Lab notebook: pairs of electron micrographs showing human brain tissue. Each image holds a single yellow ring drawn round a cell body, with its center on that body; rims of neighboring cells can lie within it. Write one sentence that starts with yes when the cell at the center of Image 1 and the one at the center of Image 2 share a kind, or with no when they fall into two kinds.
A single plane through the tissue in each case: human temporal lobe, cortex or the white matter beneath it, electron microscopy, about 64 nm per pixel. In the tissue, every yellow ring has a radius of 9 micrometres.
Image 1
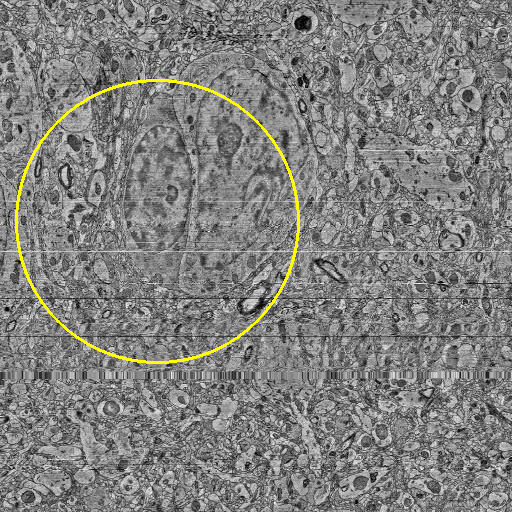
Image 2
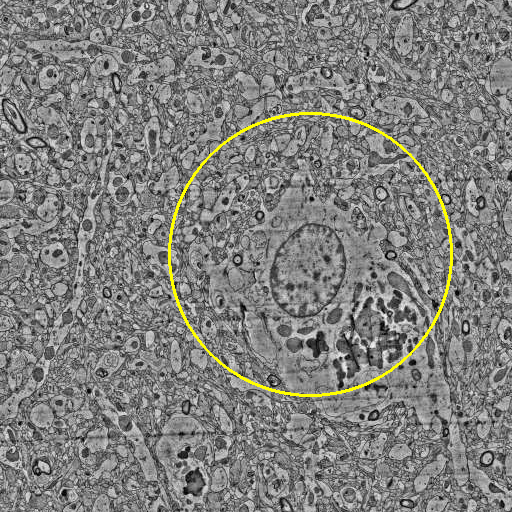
No, the centered cell in Image 1 and the centered cell in Image 2 are of two kinds.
